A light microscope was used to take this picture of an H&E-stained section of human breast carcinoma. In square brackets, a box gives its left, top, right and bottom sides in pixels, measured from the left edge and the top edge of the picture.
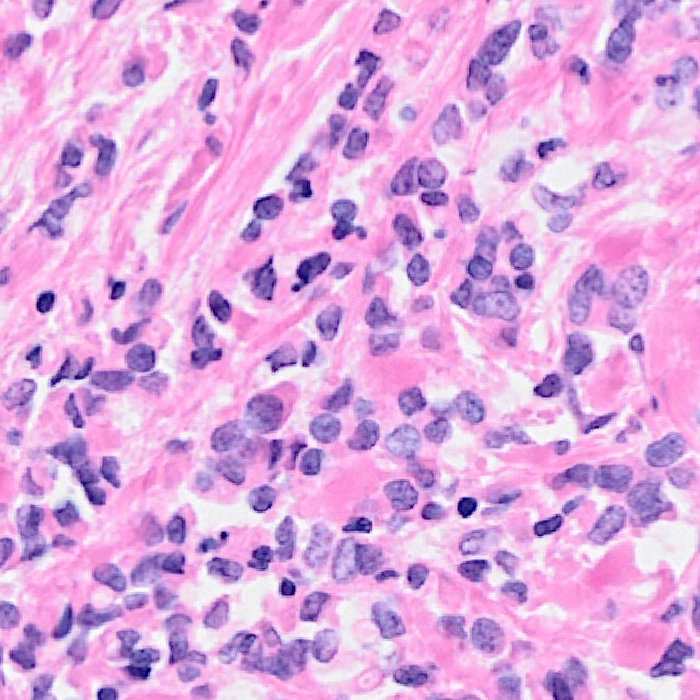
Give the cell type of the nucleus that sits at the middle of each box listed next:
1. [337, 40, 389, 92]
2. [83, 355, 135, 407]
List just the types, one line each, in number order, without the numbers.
lymphocyte
carcinoma cell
